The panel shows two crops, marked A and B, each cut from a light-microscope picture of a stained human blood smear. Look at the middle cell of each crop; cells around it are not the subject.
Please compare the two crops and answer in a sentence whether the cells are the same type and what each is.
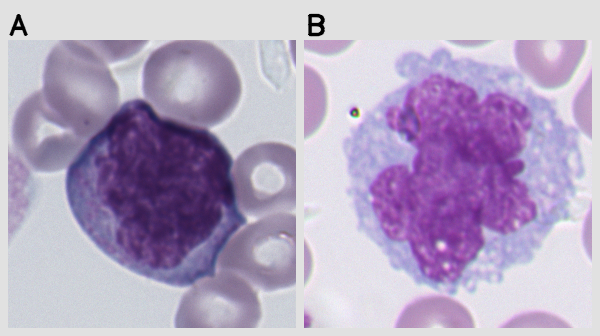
No, a promyelocyte is what crop A shows, and a monocyte is what crop B shows.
